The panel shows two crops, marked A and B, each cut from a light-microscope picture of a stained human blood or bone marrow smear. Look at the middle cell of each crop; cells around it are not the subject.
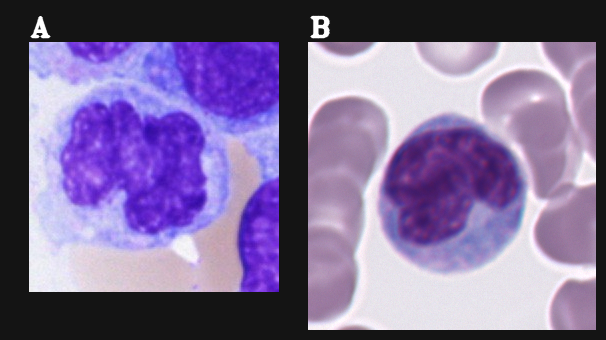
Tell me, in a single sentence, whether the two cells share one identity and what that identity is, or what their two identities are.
Yes, the two crops show monocytes, both of them.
